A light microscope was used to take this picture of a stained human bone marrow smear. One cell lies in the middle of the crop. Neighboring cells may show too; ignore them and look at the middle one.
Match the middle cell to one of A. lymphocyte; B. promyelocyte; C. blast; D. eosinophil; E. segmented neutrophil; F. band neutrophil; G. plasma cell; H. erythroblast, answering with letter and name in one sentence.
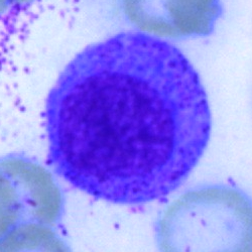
Option B correctly names the cell in the middle as a promyelocyte.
